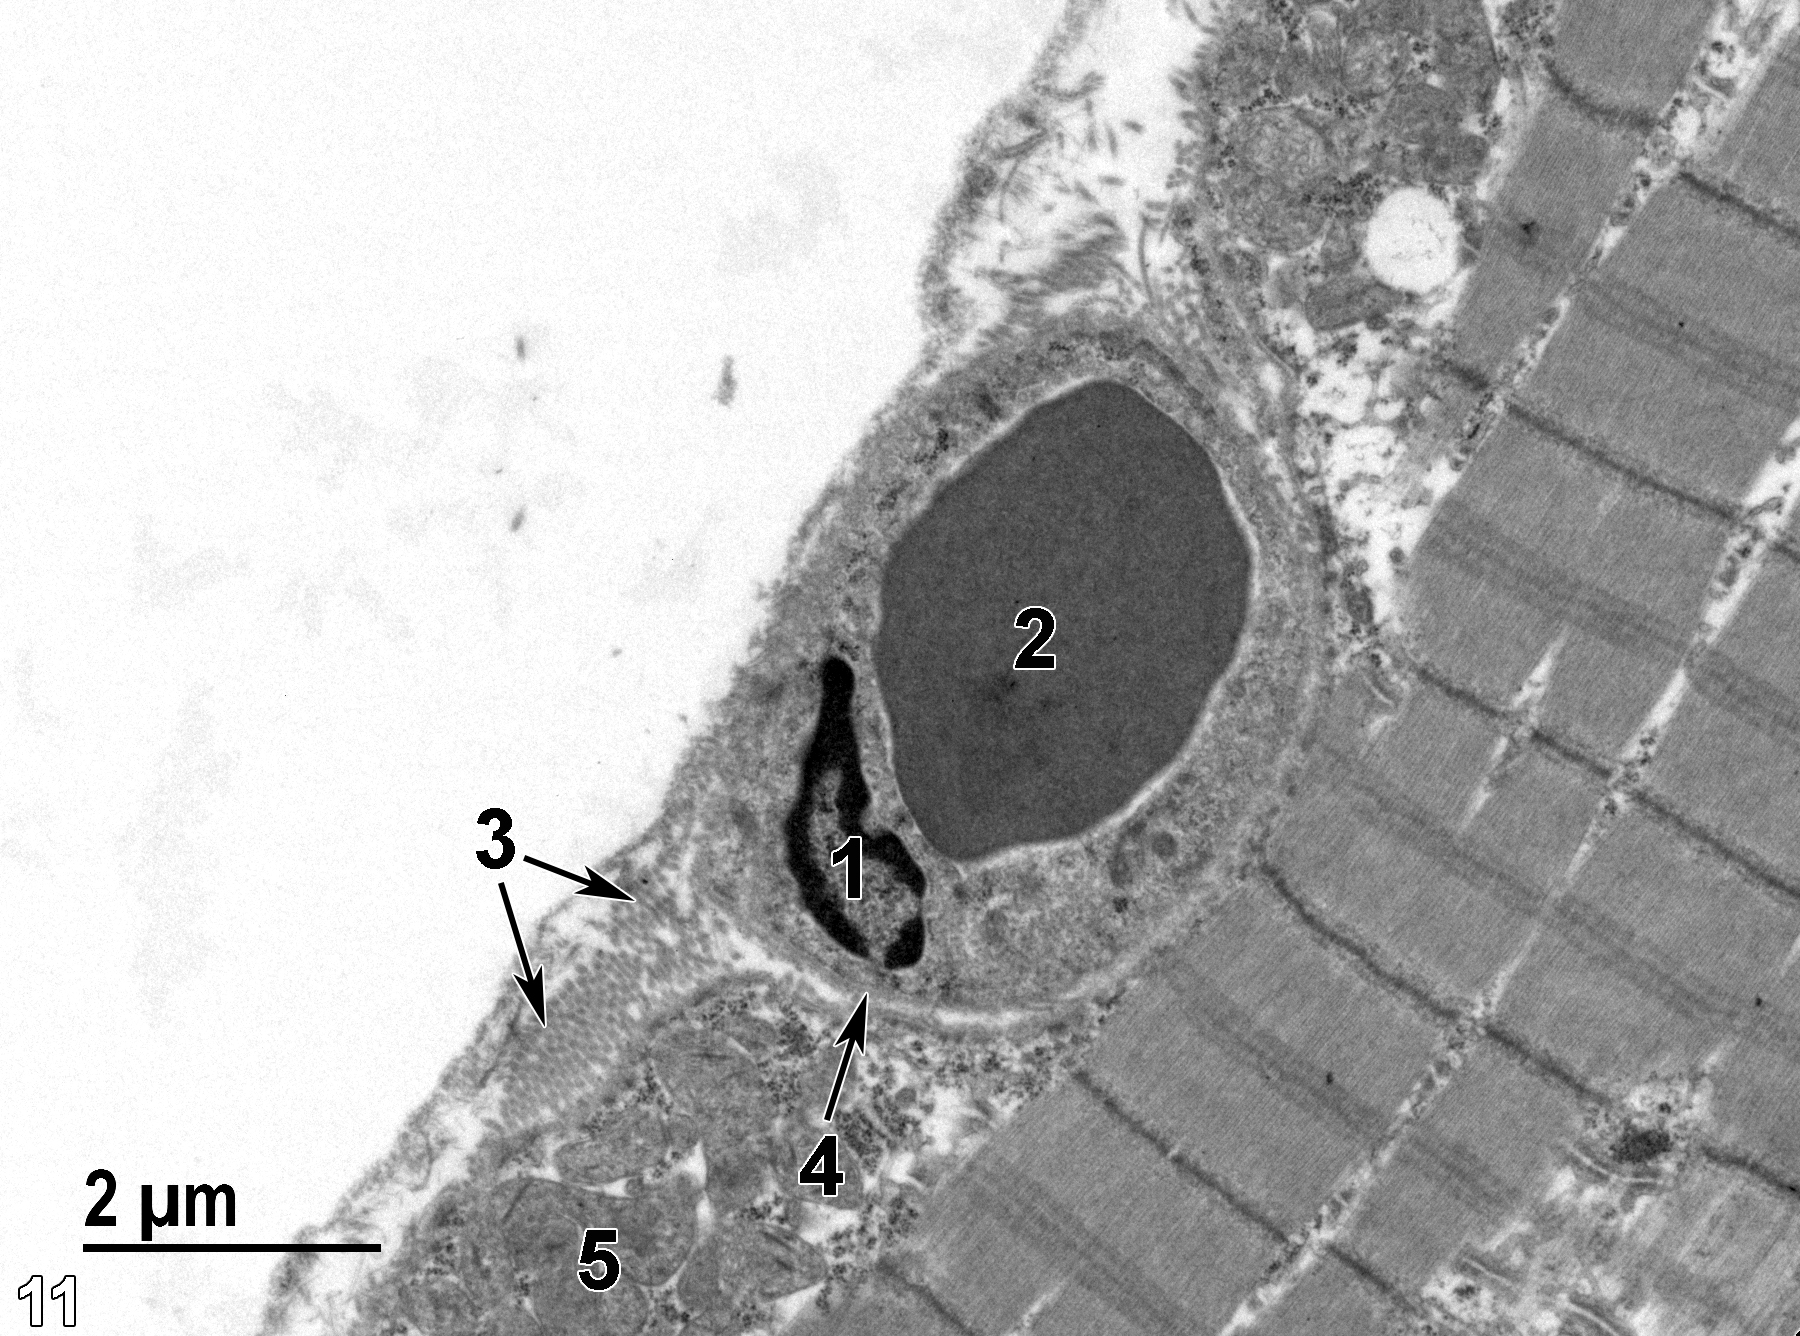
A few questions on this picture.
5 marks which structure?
Mitochondria.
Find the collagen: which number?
3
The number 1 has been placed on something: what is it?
1 marks the endothelial nucleus.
